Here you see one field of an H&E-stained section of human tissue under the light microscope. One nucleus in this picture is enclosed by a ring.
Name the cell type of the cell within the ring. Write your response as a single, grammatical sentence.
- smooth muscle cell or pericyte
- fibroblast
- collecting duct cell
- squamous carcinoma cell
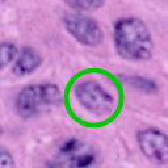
It is a squamous carcinoma cell that the cell within the ring represents.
